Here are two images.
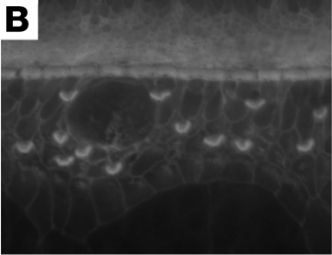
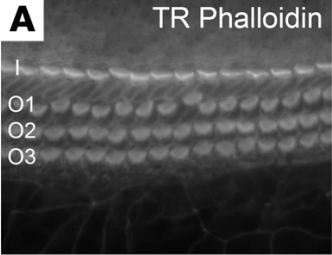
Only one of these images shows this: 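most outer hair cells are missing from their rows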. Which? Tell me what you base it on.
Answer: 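The first image. First image: only a few scattered V-shaped bundles remain, with gaps of polygonal cell borders. Second image: three complete, evenly spaced rows of V-shaped bundles.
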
